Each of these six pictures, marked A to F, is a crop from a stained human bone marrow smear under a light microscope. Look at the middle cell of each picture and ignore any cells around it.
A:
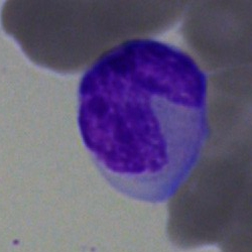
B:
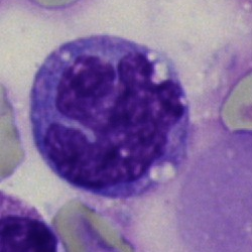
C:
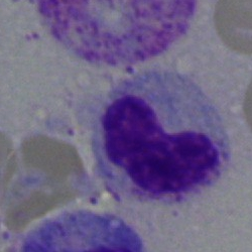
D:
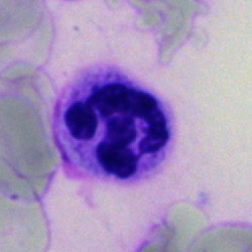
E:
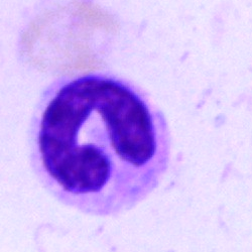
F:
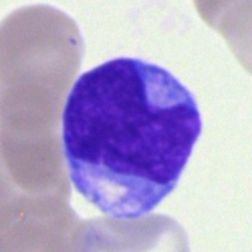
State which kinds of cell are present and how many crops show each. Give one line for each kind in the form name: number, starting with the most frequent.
monocyte: 3
band neutrophil: 2
segmented neutrophil: 1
